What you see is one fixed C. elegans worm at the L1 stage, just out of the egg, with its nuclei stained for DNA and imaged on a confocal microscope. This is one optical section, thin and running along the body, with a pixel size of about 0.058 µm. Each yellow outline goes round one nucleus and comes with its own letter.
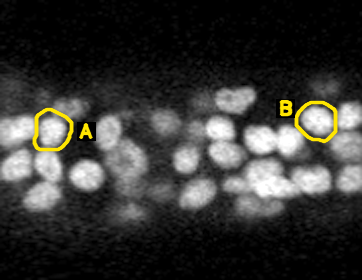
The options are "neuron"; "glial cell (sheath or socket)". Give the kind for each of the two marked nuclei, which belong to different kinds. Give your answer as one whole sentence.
B belongs to a glial cell (sheath or socket), and A to a neuron.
